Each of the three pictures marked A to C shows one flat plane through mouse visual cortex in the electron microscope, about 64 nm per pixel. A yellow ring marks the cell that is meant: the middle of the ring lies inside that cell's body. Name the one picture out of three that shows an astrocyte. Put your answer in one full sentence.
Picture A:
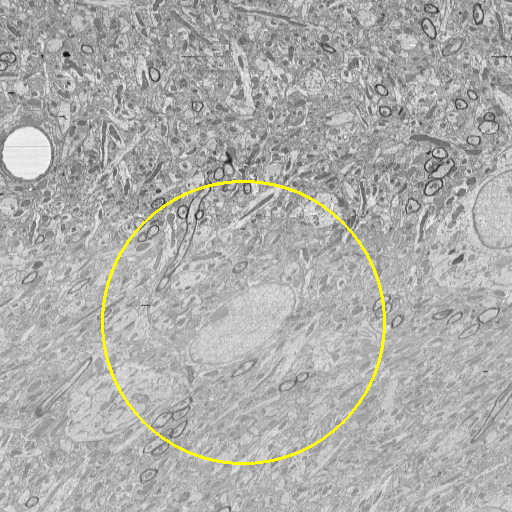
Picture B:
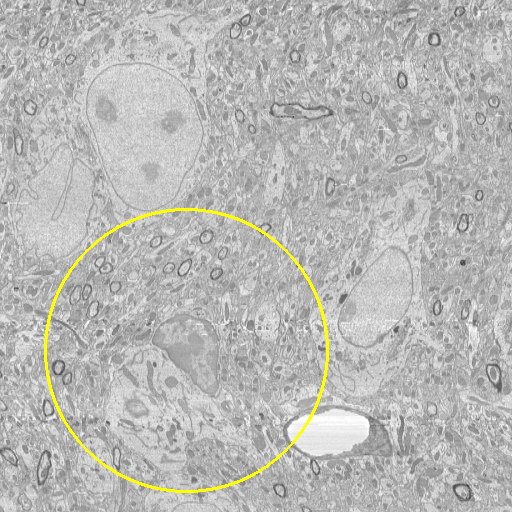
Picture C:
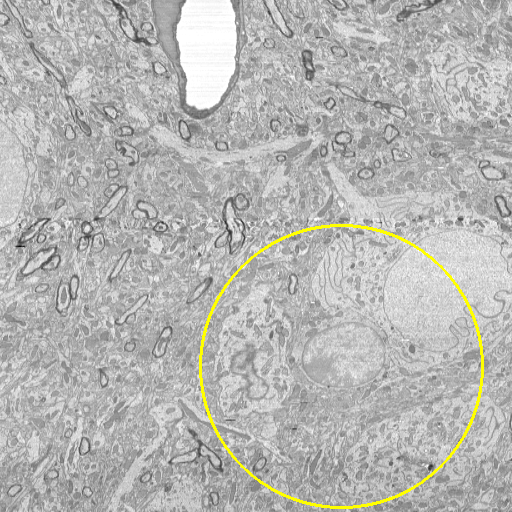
The astrocyte is the one in picture A.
